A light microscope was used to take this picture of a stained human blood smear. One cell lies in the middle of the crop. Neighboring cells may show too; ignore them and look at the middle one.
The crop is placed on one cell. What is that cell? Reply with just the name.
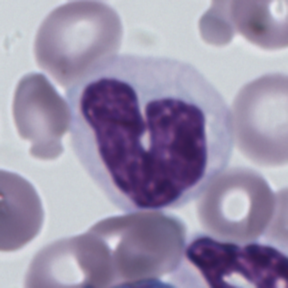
band neutrophil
